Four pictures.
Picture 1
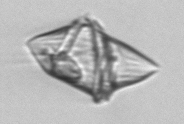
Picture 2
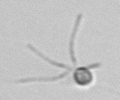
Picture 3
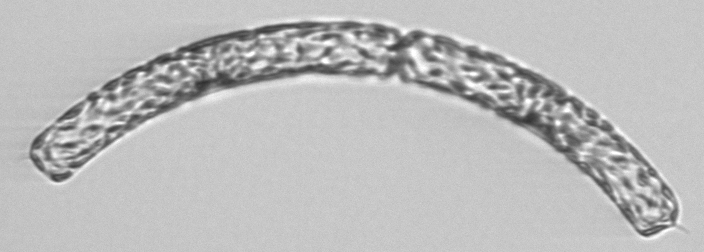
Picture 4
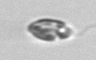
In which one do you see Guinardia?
In picture 3.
